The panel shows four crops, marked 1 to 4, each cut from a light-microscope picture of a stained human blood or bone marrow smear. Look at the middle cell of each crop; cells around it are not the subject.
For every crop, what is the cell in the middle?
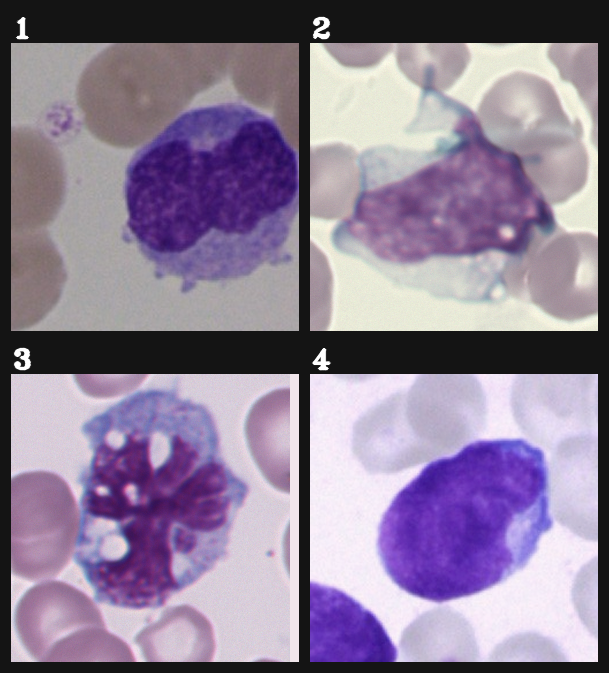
1: monocyte
2: blast
3: monocyte
4: blast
